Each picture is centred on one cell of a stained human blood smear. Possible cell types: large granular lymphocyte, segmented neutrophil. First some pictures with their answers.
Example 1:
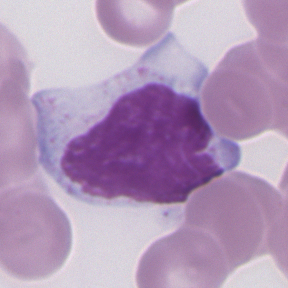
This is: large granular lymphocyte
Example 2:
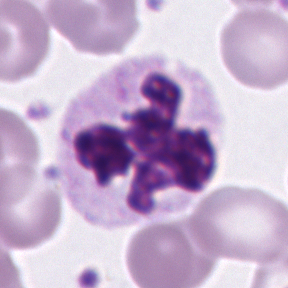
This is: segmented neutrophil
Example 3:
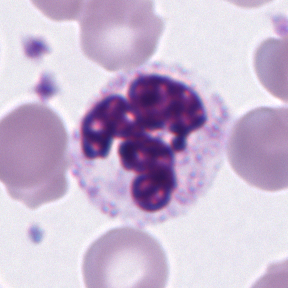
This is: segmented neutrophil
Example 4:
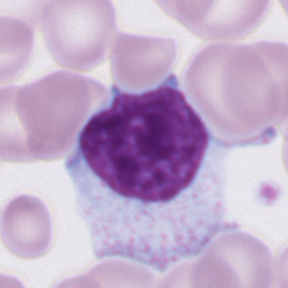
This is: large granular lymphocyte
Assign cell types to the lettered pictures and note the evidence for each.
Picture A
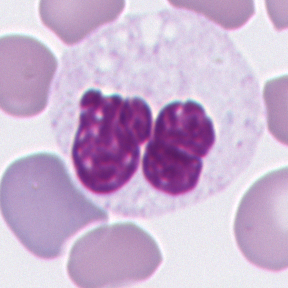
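segmented neutrophil. The cytoplasm is abundant and very pale.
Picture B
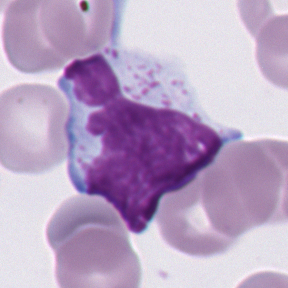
large granular lymphocyte. The nucleus fills most of the cell area.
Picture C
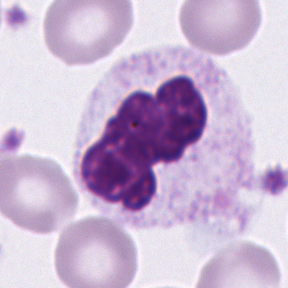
segmented neutrophil. The cytoplasm is abundant and pale pinkish-lilac.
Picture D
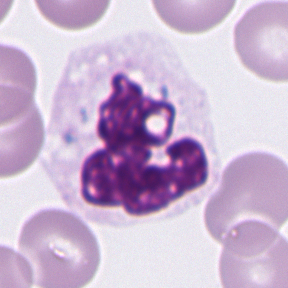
segmented neutrophil. The cytoplasm is abundant and very pale lilac.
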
